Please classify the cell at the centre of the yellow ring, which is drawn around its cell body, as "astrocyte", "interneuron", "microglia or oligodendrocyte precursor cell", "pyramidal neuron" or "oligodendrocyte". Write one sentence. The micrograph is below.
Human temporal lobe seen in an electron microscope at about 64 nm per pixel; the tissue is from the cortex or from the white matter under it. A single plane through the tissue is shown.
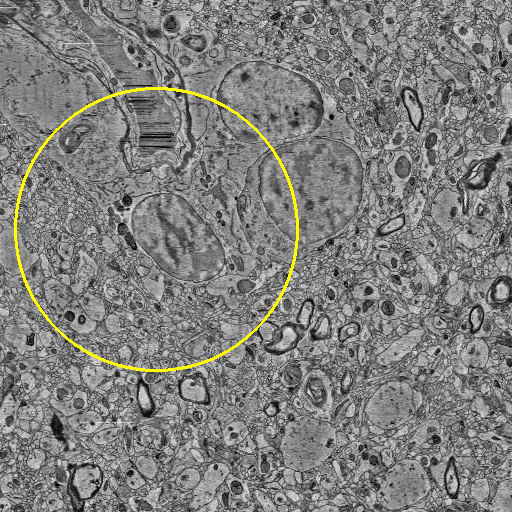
The cell at the ring's centre is classified as a microglial cell or oligodendrocyte precursor cell.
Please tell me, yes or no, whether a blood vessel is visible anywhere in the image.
Yes, one appears.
